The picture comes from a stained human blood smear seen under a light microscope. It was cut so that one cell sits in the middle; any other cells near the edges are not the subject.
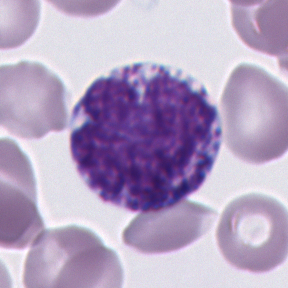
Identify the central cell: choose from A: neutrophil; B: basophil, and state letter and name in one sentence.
In this crop the central cell is a basophil, which option B correctly states.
